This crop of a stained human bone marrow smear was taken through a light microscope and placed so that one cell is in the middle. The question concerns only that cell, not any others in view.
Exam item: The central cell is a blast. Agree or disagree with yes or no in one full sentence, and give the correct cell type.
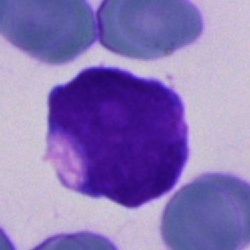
Yes, the central element of the crop is a blast.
